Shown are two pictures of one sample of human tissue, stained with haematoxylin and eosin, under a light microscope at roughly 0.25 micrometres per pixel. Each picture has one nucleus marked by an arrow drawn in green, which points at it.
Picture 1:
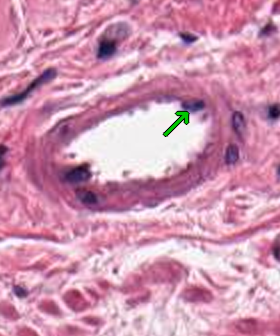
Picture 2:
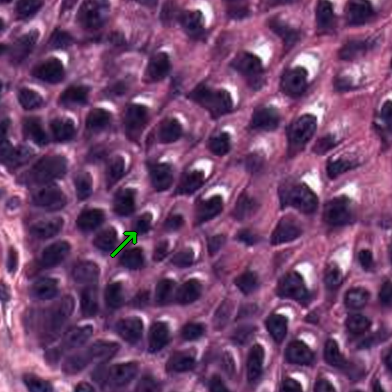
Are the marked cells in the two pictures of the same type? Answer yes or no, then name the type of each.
No, the first is an endothelial cell and the second a squamous epithelial cell.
